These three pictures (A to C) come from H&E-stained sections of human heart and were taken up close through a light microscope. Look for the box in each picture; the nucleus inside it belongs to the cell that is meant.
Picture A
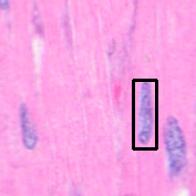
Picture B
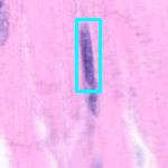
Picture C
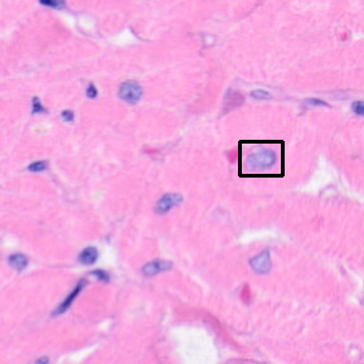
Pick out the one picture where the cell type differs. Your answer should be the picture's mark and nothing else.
B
